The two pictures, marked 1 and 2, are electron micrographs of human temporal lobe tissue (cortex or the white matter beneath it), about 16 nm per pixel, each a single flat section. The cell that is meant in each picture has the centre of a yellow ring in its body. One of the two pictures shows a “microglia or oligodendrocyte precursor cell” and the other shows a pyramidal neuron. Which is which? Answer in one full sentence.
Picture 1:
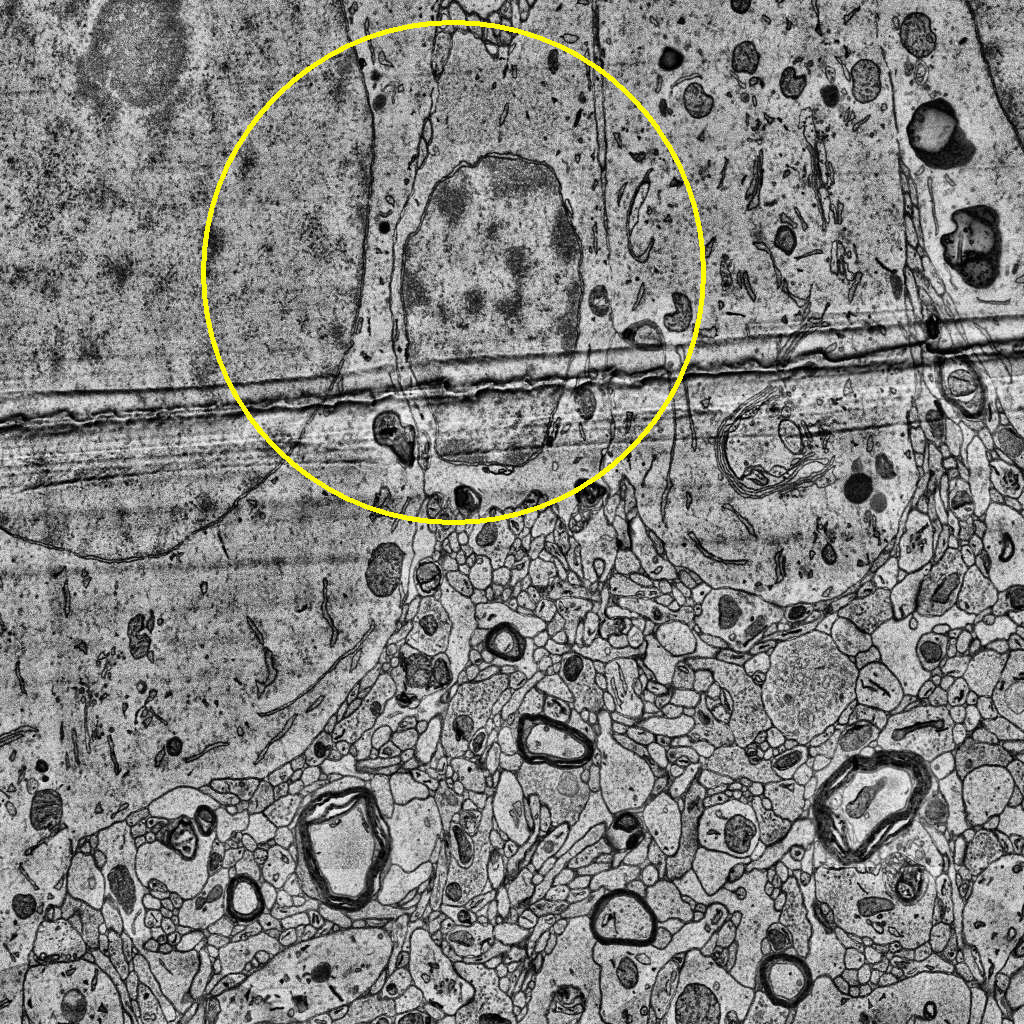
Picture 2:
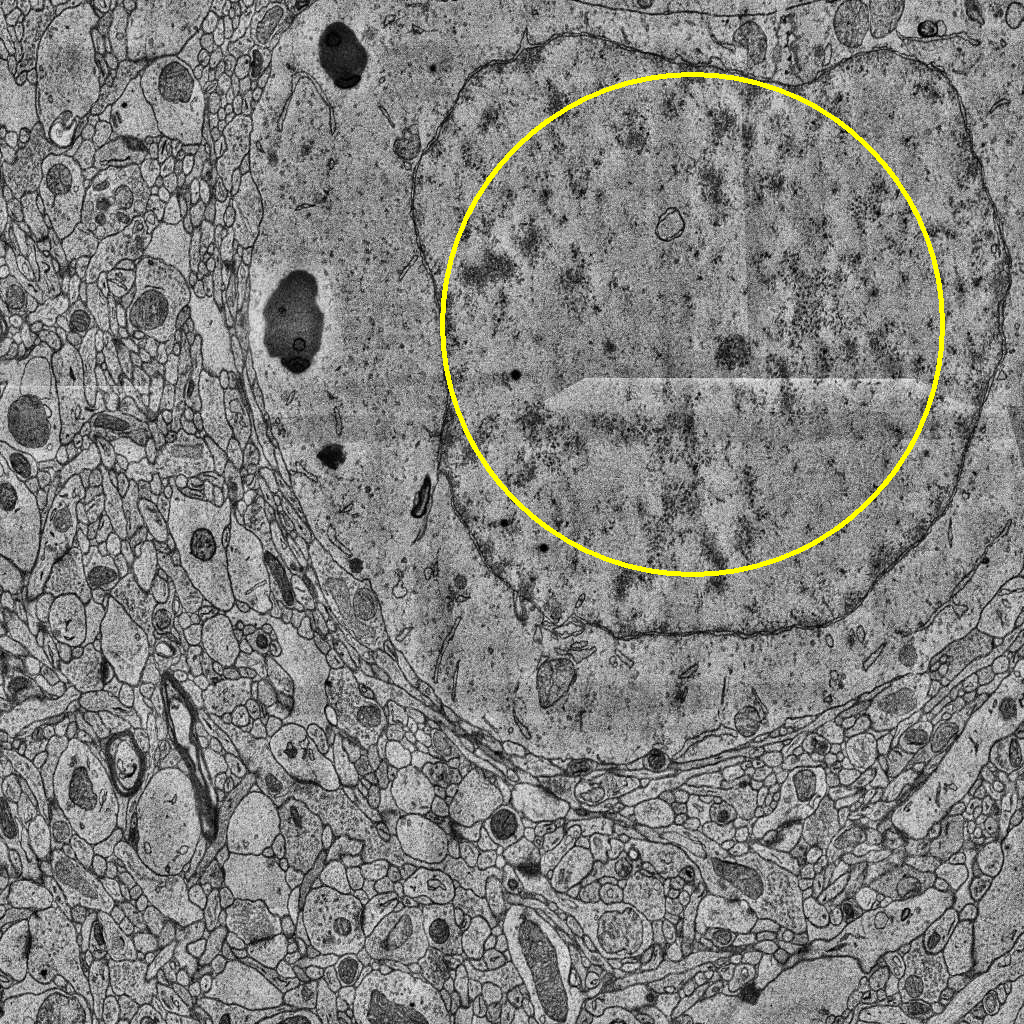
Picture 2 shows a pyramidal neuron, while picture 1 shows a “microglia or oligodendrocyte precursor cell”.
